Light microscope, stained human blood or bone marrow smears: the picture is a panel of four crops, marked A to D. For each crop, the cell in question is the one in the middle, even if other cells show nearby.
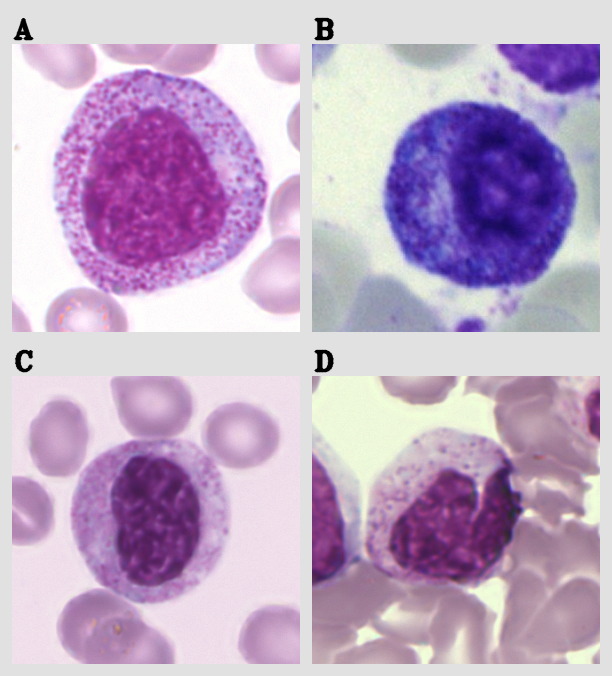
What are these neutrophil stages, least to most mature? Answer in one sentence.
The maturity sequence, least mature to most mature, is crop B (a promyelocyte), crop A (a myelocyte), crop C (a metamyelocyte) and crop D (a band neutrophil).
